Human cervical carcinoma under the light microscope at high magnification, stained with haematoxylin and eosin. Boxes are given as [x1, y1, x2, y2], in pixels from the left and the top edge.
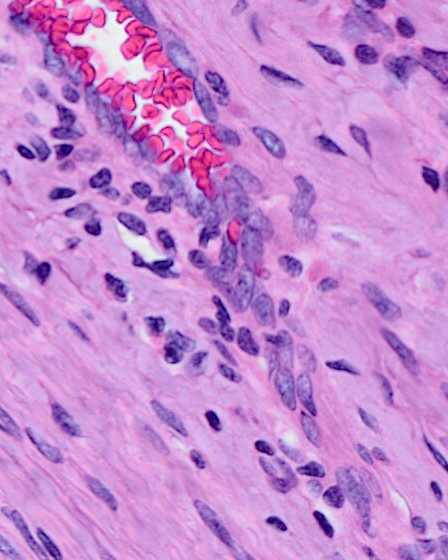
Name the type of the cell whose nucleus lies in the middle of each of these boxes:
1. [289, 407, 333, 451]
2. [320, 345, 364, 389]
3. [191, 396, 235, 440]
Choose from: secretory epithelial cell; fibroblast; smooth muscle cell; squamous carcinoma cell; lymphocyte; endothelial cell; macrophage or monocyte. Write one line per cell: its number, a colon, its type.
1: endothelial cell
2: fibroblast
3: lymphocyte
